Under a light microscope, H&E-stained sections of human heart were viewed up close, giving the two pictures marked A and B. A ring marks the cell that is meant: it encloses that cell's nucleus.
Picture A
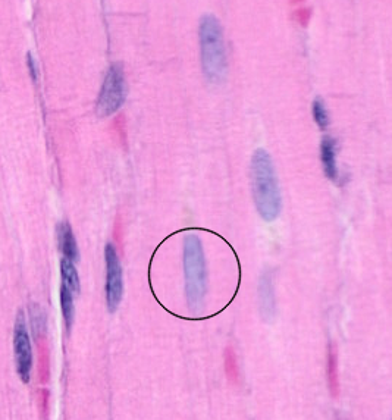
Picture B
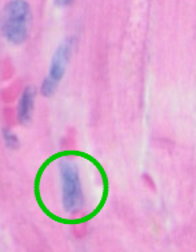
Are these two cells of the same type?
no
